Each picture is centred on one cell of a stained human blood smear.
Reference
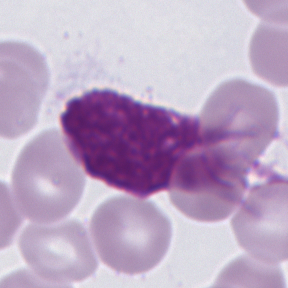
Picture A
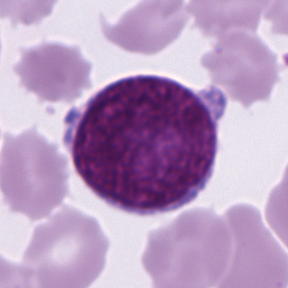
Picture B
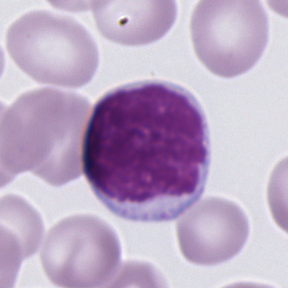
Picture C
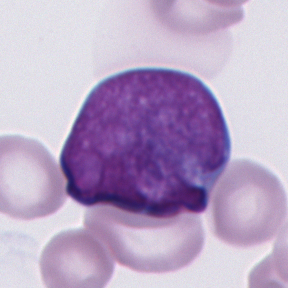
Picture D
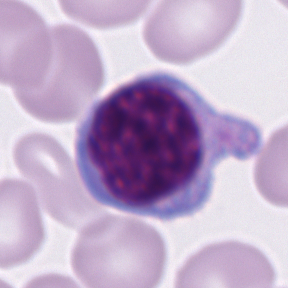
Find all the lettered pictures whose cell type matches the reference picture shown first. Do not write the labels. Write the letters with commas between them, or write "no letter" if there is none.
no letter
